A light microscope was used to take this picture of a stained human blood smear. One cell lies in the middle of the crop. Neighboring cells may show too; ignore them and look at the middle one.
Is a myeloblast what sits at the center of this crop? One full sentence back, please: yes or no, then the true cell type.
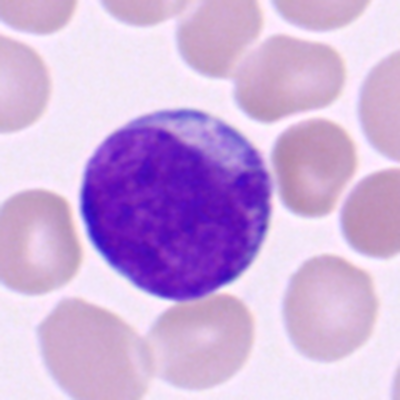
Yes, the centred cell is categorised as a myeloblast.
